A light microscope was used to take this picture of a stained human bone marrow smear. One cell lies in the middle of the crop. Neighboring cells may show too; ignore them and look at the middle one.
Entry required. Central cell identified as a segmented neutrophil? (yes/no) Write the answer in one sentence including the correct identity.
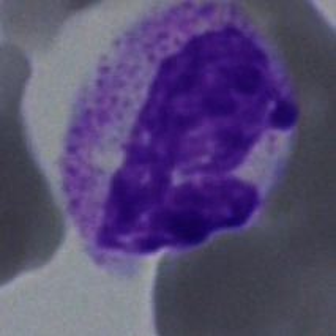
Yes, the cell at the heart of the crop is a segmented neutrophil.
